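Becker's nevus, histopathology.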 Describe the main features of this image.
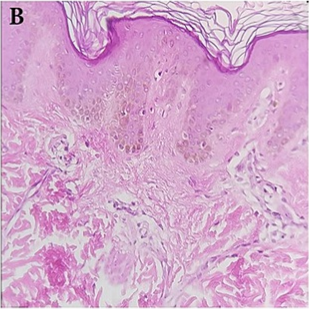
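Epidermis of skin with undulating downward ridges resting on the dermis, covered by a basket-weave layer of keratin. The keratinocytes of the basal layer hold brown granular pigment, while the cells above are pale and largely unpigmented. Below lies loose pink collagenous dermis with scattered small vessels.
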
